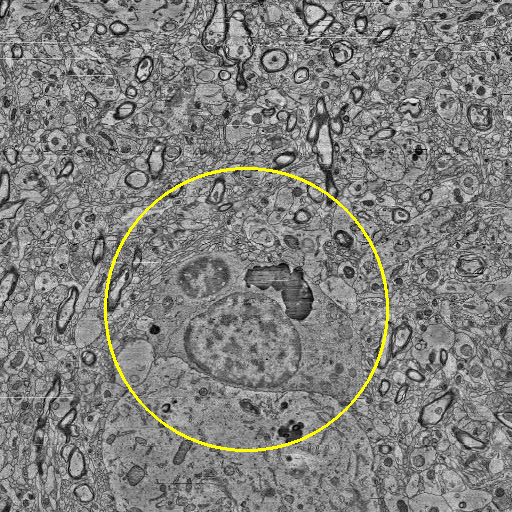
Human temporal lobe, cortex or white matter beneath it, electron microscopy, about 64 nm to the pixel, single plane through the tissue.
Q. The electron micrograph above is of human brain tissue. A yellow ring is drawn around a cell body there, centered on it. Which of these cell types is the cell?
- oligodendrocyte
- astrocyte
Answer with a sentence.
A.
The cell under the ring's center is an oligodendrocyte.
